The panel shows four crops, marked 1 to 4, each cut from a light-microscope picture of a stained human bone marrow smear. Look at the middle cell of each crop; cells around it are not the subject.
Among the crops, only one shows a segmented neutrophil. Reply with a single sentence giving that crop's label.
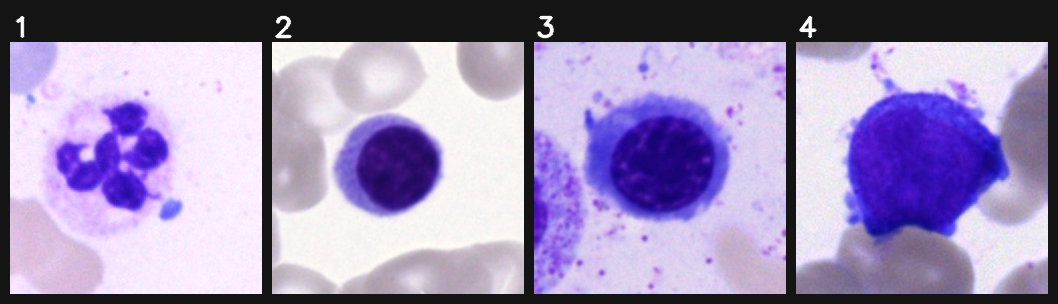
Crop 1 is the one in this set that shows a segmented neutrophil.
